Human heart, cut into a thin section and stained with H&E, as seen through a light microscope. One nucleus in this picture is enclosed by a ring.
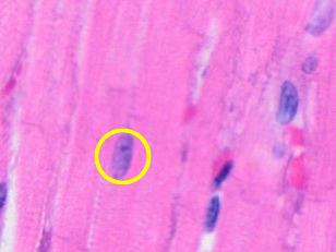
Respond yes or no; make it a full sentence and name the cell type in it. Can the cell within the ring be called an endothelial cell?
No, for the cell within the ring the correct label is a cardiomyocyte and not an endothelial cell.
